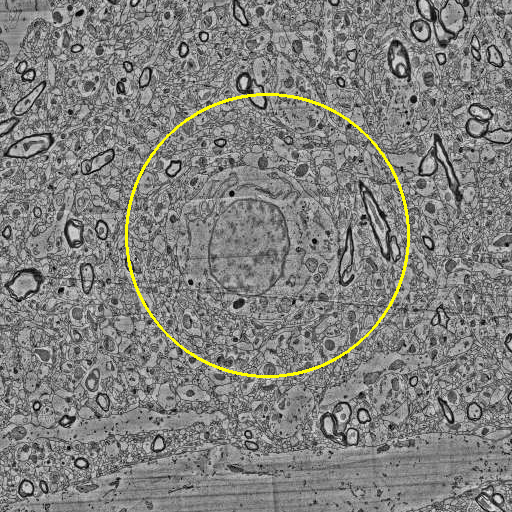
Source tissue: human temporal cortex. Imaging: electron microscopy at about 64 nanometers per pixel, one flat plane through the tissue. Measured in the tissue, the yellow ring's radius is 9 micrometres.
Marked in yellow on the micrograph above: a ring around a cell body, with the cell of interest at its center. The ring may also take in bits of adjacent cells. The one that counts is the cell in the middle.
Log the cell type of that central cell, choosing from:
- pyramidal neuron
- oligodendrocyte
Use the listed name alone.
pyramidal neuron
